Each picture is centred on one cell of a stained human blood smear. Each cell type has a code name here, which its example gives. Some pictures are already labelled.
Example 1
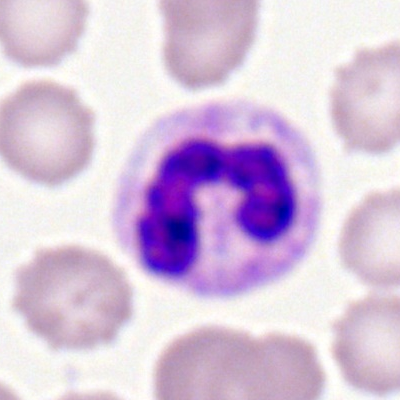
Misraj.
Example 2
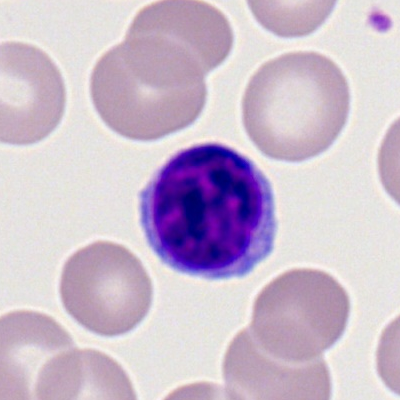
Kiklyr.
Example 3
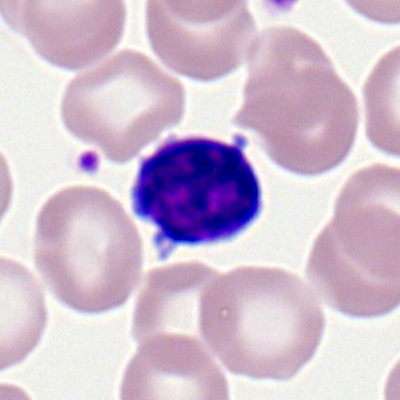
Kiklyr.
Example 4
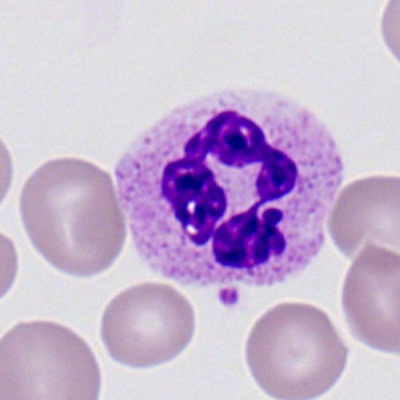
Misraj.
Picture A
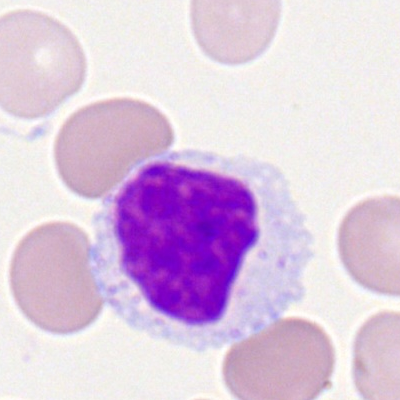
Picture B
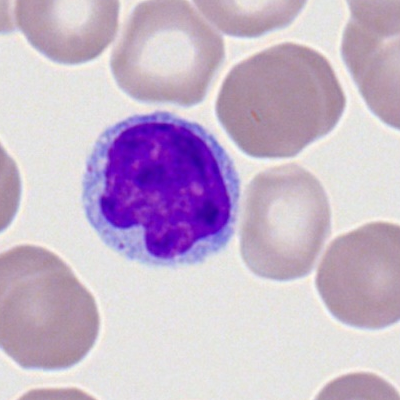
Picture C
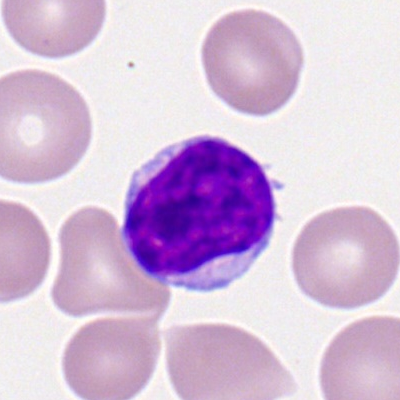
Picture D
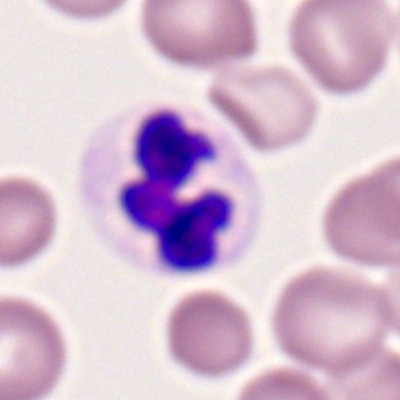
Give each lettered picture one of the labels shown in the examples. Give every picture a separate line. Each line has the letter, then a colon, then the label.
A: Kiklyr.
B: Kiklyr.
C: Kiklyr.
D: Misraj.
